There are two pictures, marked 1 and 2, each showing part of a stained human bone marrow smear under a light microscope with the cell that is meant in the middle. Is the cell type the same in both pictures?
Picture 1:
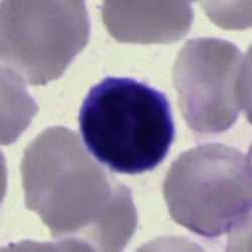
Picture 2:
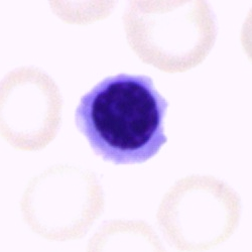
no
